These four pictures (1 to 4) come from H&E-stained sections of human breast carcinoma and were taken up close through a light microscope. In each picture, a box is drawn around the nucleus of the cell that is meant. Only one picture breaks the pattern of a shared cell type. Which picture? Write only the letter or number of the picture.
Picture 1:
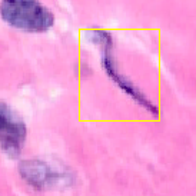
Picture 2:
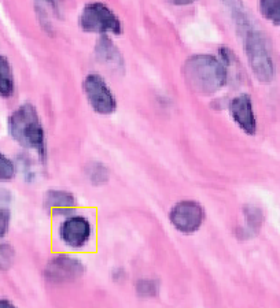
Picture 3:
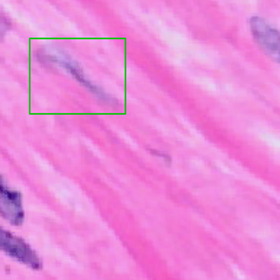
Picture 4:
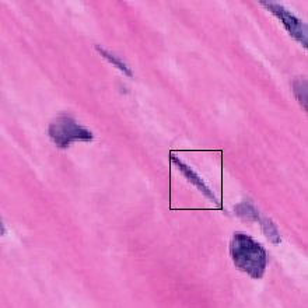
2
